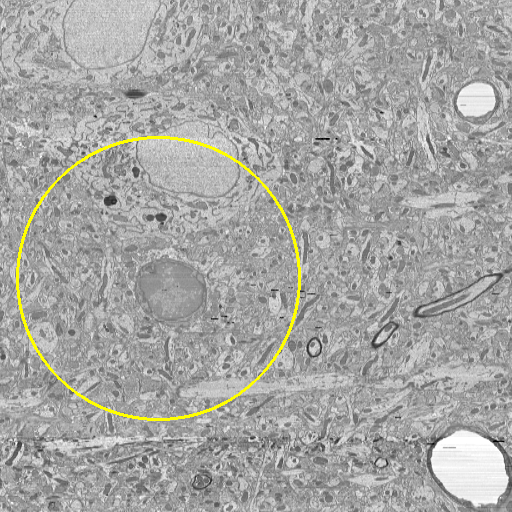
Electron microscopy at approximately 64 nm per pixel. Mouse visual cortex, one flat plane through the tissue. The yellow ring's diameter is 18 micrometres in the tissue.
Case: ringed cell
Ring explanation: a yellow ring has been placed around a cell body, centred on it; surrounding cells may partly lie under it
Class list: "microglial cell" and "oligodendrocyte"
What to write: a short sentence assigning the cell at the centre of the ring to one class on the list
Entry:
The cell at the ring's centre is a microglial cell.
